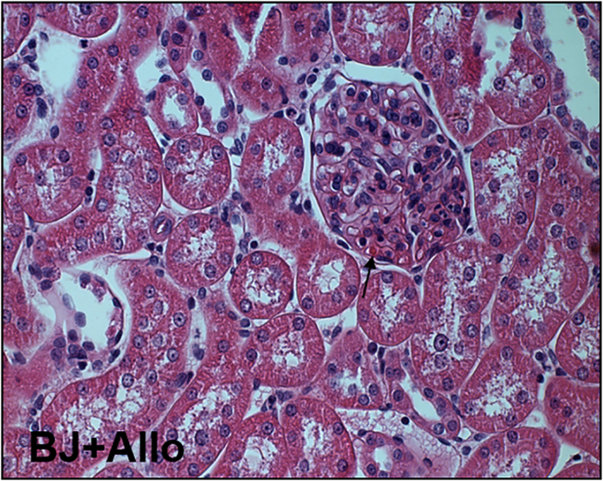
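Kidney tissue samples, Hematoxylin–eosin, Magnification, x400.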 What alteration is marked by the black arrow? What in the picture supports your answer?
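The arrow points to a small bright red deposit at the edge of the glomerular tuft.
Hence: glomerular microthrombi deposit.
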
